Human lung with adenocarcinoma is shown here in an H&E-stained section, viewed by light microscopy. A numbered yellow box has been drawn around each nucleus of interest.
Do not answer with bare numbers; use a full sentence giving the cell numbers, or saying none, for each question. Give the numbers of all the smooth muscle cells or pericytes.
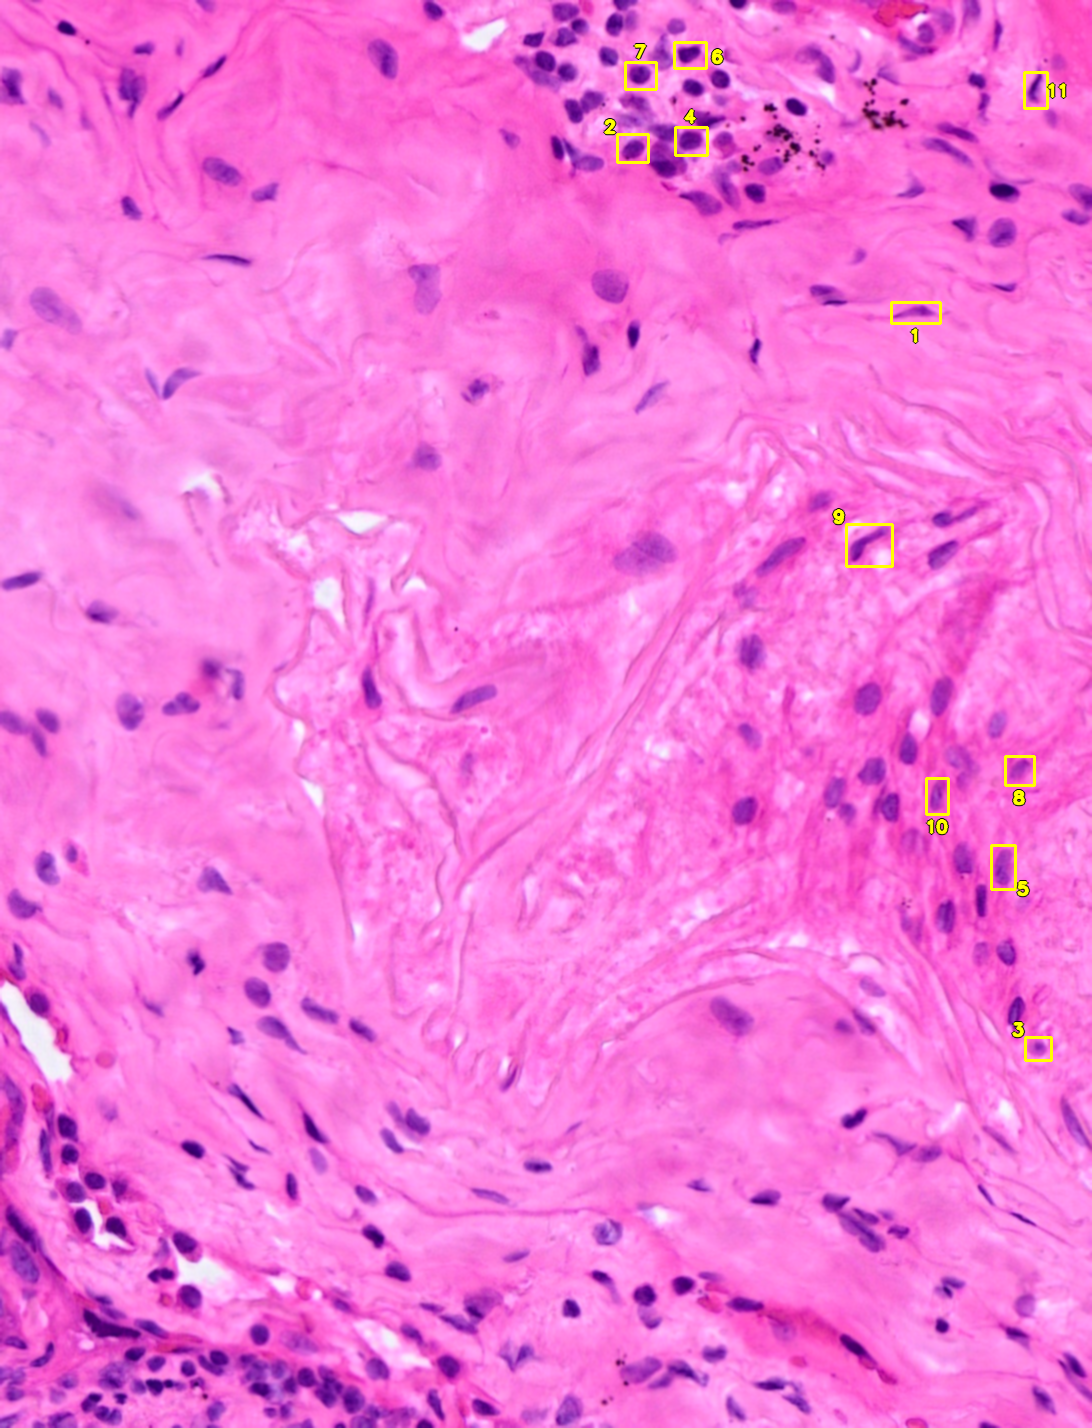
The cells shown with numbers 3, 5, 8, 9 and 10 are smooth muscle cells or pericytes.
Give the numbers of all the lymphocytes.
The cells shown with numbers 2, 4, 6 and 7 are lymphocytes.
